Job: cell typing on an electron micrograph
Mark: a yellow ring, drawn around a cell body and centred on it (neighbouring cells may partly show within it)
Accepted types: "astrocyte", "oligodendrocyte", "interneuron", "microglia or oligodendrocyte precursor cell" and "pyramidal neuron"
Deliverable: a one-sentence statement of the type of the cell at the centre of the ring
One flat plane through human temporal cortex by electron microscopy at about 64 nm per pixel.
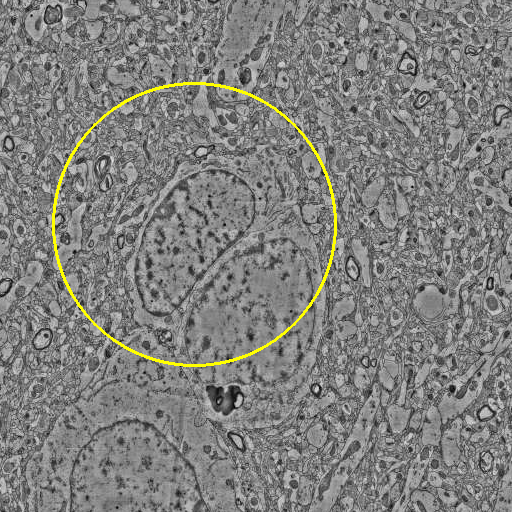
The centred cell body is that of a microglial cell or oligodendrocyte precursor cell.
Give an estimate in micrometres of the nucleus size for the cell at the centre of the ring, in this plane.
Clearly longer than it is wide in this plane, the nucleus measures roughly 10 by 5 micrometres.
